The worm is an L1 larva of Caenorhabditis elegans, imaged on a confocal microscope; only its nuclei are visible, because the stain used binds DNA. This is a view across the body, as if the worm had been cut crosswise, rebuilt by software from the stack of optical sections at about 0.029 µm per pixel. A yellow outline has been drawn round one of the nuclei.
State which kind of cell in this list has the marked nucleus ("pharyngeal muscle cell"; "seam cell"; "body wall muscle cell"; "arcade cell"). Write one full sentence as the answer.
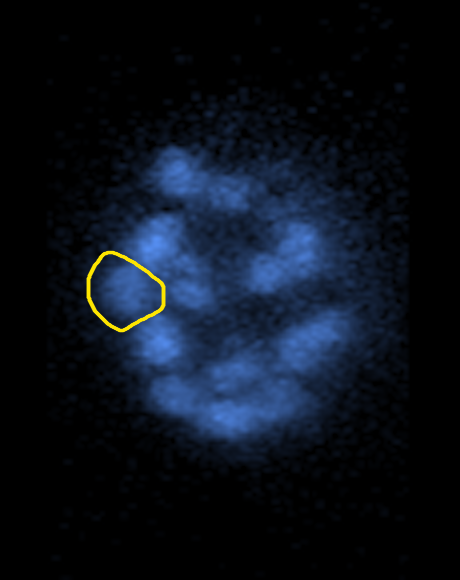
This is the nucleus of a seam cell.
